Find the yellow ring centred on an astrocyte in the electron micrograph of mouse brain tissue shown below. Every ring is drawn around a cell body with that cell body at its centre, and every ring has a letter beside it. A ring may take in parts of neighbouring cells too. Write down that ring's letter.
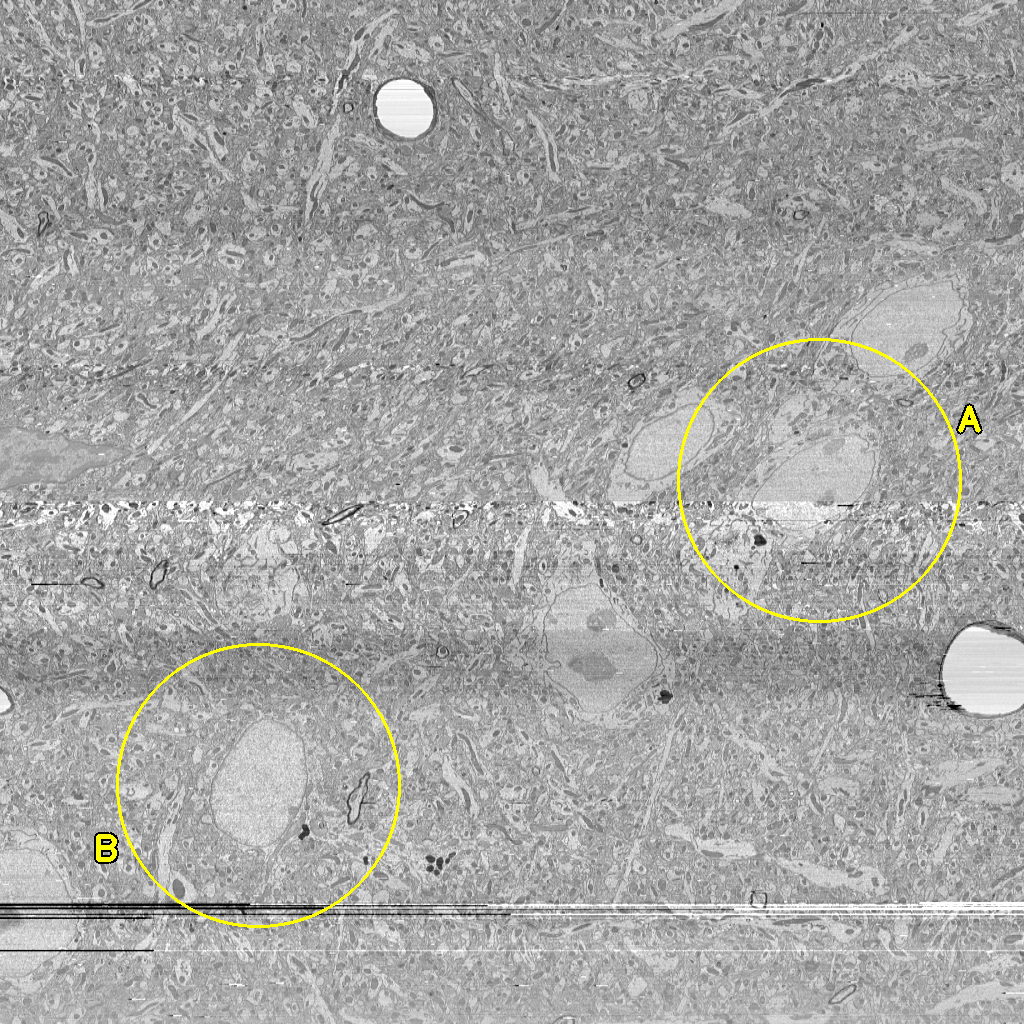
B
